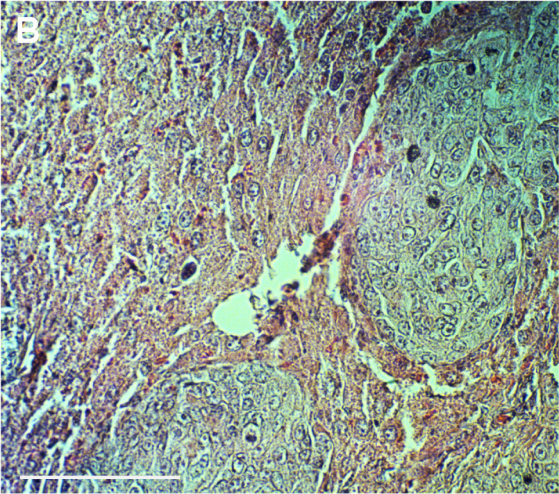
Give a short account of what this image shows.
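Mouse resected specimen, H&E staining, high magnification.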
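Liver tissue with nests of cancer cells: on the right and at the bottom lie rounded, sharply bordered nests of large pale polygonal cells with round nuclei and visible nucleoli. Around them the liver tissue is a deeper pink to red-brown, with cords of cells separated by narrow slit-like spaces. A small open vessel lumen lies between the nests and the surrounding liver. The pale nests differ clearly from the surrounding tissue in their lighter cytoplasm and crowded, larger nuclei.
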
